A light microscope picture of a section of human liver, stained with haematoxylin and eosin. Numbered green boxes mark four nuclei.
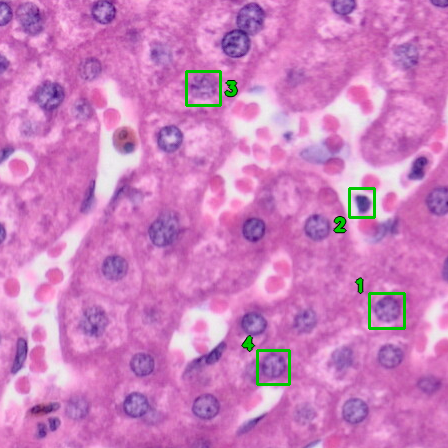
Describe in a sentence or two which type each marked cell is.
Cells 1, 3 and 4 are hepatocytes. Cell 2 is a lymphocyte.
